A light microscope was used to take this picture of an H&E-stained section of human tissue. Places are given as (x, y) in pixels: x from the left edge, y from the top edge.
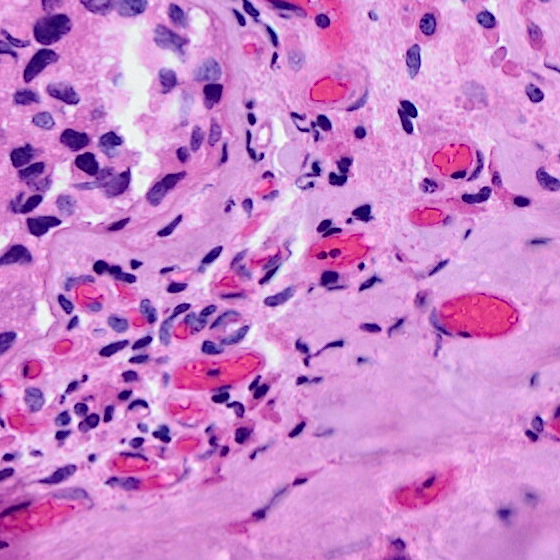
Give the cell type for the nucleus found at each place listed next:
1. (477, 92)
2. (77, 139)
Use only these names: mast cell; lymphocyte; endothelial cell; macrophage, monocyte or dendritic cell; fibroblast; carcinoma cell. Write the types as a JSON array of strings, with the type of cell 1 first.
["fibroblast", "carcinoma cell"]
